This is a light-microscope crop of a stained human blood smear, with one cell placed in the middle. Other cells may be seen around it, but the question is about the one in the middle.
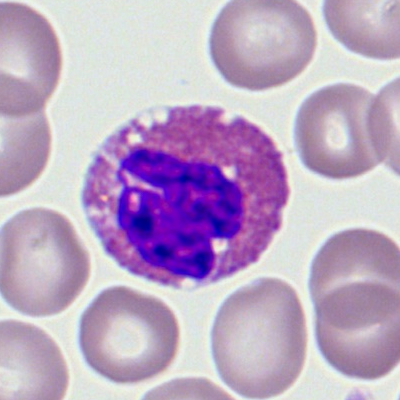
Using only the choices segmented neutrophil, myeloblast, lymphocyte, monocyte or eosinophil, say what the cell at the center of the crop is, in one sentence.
On this slide crop, the central cell is an eosinophil.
